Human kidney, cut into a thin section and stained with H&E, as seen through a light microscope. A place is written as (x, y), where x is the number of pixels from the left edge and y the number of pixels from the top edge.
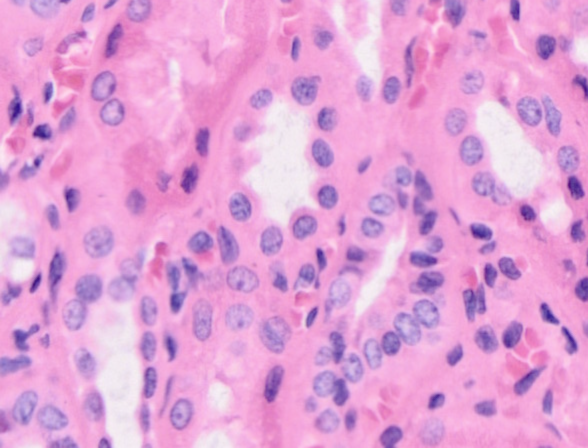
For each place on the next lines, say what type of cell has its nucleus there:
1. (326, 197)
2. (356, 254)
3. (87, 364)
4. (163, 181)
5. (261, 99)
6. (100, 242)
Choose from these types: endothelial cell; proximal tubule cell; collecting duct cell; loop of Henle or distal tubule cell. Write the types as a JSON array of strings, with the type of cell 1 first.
["loop of Henle or distal tubule cell", "collecting duct cell", "loop of Henle or distal tubule cell", "proximal tubule cell", "loop of Henle or distal tubule cell", "loop of Henle or distal tubule cell"]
